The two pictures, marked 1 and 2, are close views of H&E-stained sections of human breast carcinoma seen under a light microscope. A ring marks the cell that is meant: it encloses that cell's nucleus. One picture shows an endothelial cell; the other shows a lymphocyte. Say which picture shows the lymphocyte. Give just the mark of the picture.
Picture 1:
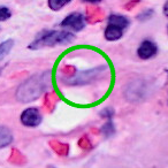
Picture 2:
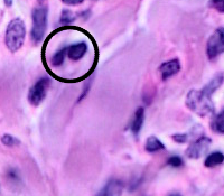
2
